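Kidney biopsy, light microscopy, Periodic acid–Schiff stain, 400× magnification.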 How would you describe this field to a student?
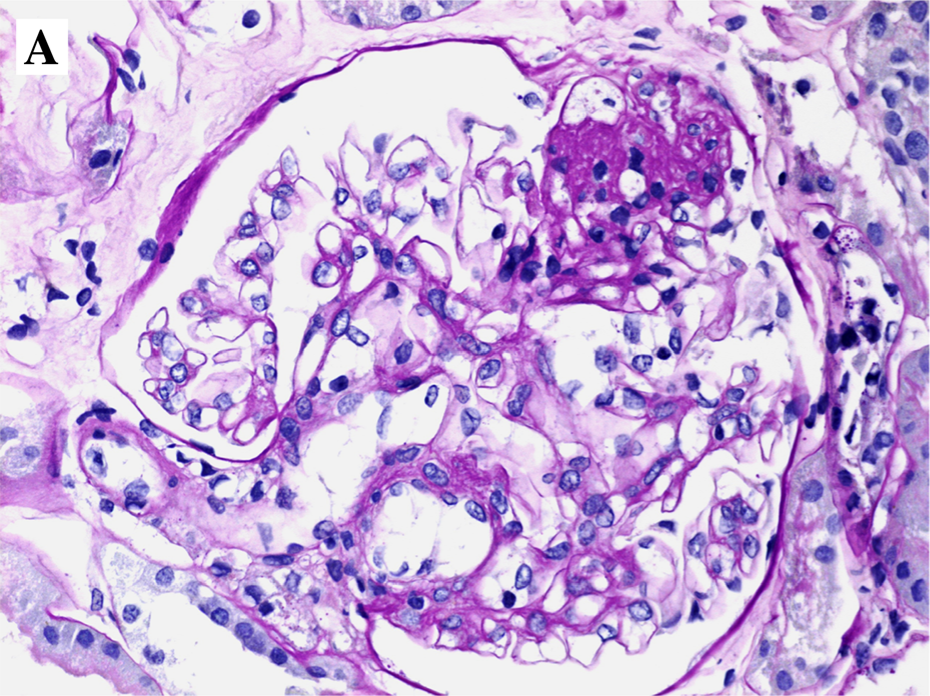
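A single glomerulus within its capsule, surrounded by tubules and interstitium, stained magenta and blue. Most of the tuft consists of open capillary loops with thin magenta walls and scattered oval blue nuclei of endothelial, mesangial and epithelial cells. In the upper right part of the tuft the loops are lost and replaced by a dense, magenta-staining mass of matrix containing crowded dark nuclei and a cell with pale, vacuolated cytoplasm. This scarred segment abuts the capsule, with no urinary space between them there.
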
